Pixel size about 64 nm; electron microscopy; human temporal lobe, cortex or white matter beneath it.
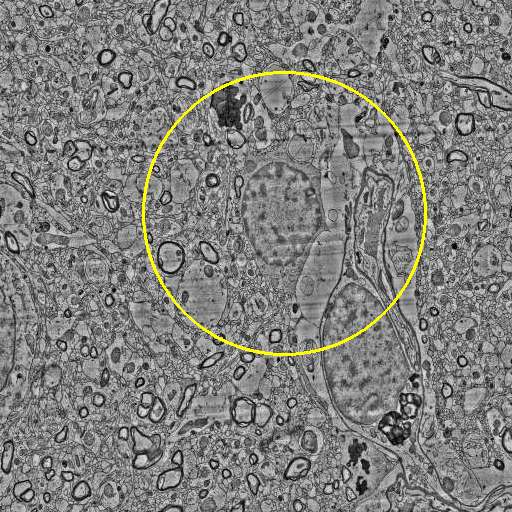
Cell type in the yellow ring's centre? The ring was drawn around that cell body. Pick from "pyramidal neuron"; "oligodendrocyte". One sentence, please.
The ringed cell body is that of an oligodendrocyte.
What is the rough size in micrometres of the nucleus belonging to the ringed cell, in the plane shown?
The ringed cell's nucleus is about 7 micrometres long and 5 micrometres wide in this plane.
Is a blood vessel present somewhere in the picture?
Yes, a blood vessel shows in the picture.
